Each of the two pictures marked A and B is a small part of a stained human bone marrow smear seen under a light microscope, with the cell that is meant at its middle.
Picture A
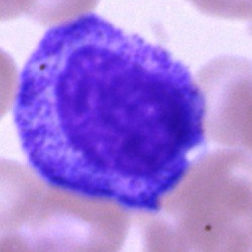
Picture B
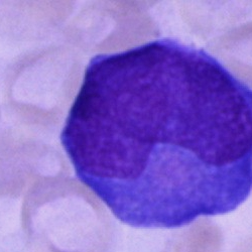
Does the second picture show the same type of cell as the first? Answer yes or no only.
no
